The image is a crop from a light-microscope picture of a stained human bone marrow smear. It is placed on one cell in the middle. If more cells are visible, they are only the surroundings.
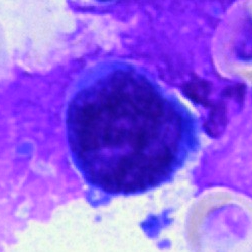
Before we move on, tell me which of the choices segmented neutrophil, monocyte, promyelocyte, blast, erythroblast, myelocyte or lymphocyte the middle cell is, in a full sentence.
Looking at the middle of the crop, the cell there is a blast.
